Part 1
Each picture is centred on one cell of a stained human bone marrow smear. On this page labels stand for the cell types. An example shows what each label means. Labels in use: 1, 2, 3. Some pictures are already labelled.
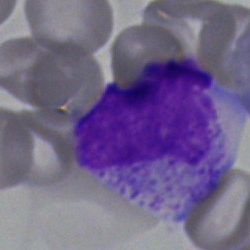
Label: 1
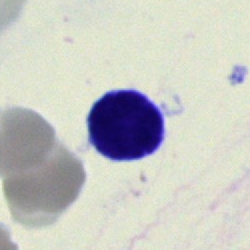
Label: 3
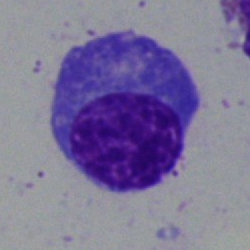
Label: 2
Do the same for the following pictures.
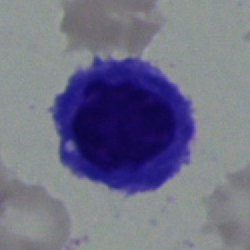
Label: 2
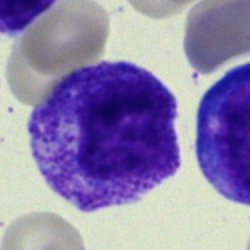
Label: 1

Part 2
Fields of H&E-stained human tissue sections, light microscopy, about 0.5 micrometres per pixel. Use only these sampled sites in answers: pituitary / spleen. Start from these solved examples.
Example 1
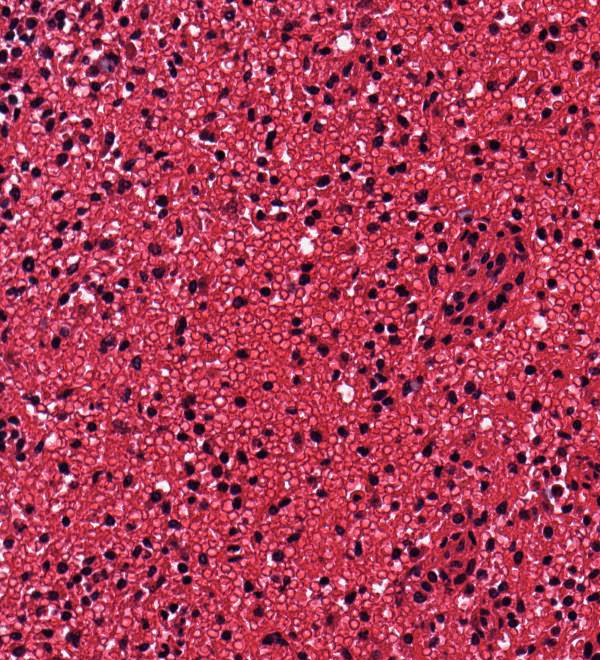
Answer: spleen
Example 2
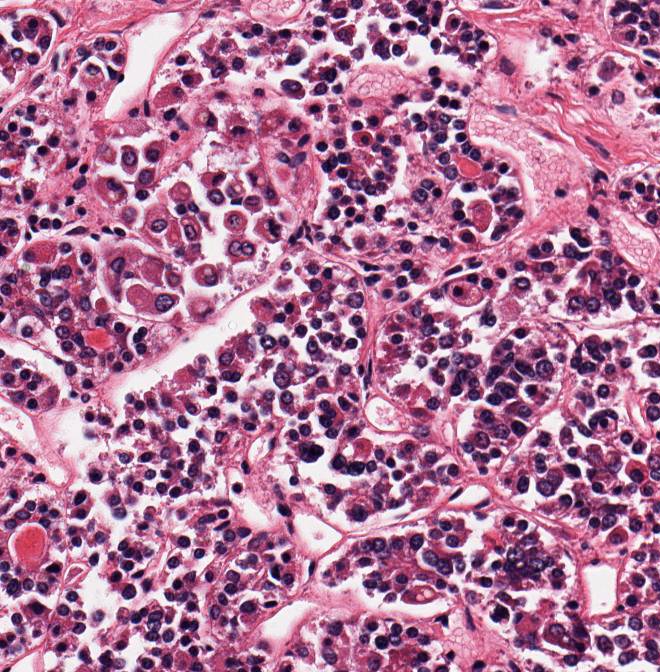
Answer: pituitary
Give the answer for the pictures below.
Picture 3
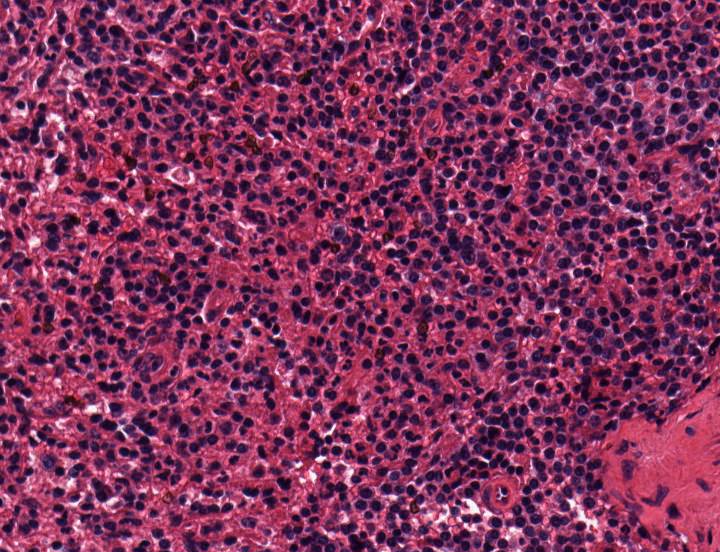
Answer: spleen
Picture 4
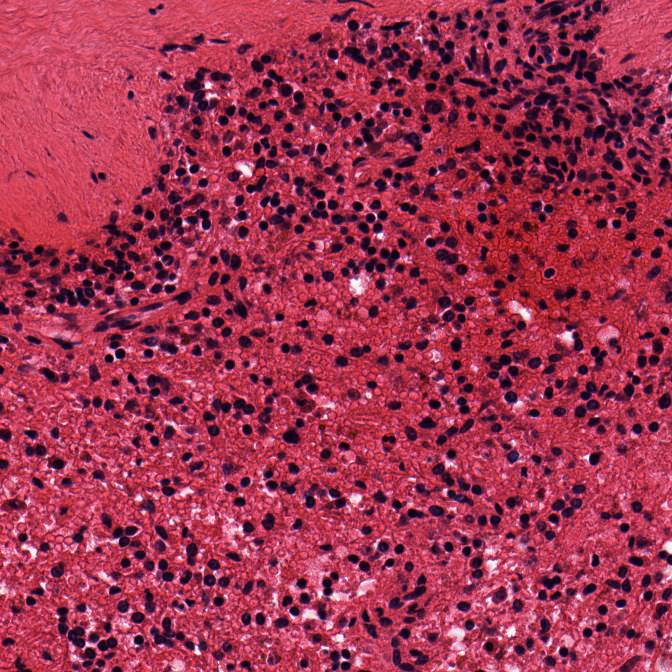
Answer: spleen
